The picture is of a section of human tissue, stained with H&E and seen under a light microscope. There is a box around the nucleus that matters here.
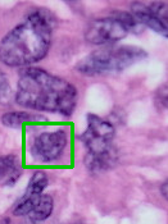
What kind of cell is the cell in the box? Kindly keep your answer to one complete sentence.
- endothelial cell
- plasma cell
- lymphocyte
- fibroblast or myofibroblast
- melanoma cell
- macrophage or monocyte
On this particular slide, the cell in the box is a melanoma cell.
